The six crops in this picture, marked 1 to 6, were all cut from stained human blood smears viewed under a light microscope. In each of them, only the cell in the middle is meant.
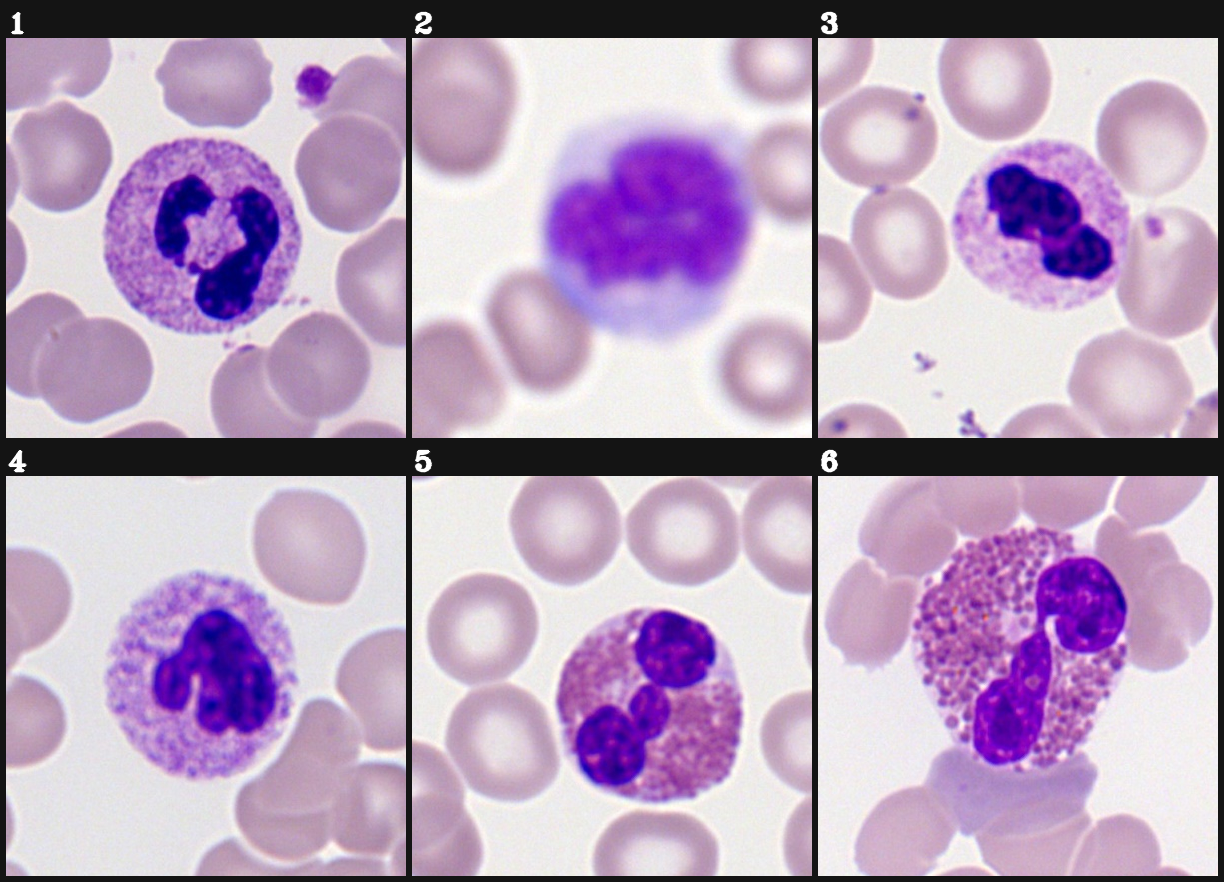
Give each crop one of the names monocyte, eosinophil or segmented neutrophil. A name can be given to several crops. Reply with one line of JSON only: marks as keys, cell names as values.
{"1": "segmented neutrophil", "2": "monocyte", "3": "segmented neutrophil", "4": "segmented neutrophil", "5": "eosinophil", "6": "eosinophil"}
